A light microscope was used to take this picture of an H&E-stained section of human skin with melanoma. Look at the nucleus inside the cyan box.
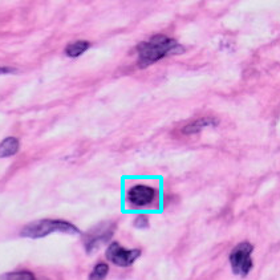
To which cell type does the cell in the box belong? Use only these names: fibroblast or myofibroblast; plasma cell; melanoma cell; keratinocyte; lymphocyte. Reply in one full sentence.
The cell in the box appears to be a plasma cell.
